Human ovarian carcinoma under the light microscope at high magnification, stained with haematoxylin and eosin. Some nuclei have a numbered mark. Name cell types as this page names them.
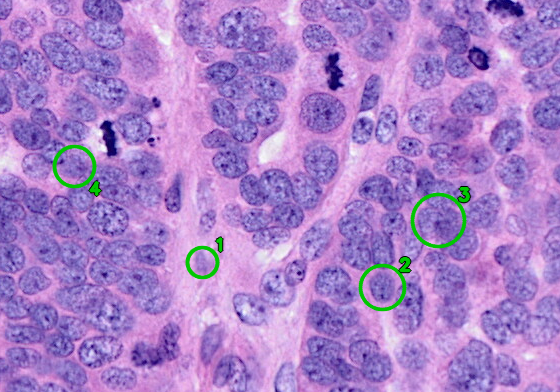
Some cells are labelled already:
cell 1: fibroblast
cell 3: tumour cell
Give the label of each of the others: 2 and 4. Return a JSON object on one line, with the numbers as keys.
{"2": "tumour cell", "4": "tumour cell"}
